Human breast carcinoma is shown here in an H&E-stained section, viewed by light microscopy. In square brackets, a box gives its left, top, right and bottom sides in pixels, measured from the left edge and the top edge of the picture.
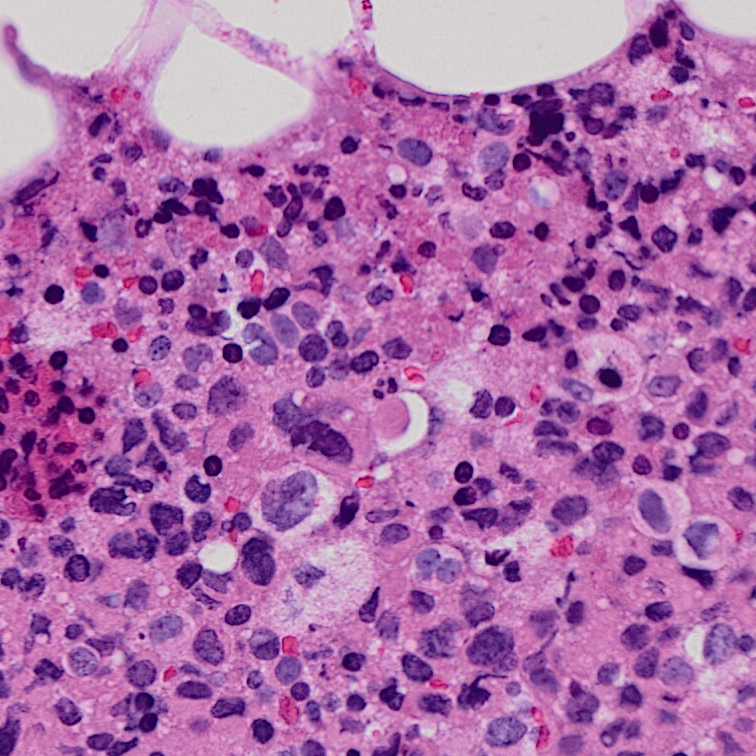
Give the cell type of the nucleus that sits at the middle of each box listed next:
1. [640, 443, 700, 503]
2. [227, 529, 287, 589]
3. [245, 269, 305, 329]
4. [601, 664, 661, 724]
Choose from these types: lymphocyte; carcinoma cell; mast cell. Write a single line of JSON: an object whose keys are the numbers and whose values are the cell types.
{"1": "lymphocyte", "2": "carcinoma cell", "3": "carcinoma cell", "4": "carcinoma cell"}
